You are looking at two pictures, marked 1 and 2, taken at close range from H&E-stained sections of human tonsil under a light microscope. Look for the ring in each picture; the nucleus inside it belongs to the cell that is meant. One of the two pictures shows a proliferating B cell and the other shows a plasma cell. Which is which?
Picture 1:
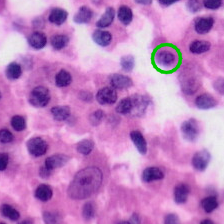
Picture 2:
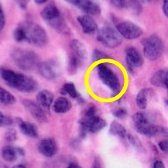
1: plasma cell
2: proliferating B cell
